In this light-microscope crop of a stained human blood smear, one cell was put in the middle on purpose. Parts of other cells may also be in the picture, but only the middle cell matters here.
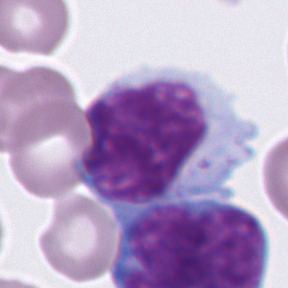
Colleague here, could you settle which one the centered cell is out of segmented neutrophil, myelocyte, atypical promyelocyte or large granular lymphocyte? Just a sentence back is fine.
The cell at the central position in this crop is a large granular lymphocyte.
